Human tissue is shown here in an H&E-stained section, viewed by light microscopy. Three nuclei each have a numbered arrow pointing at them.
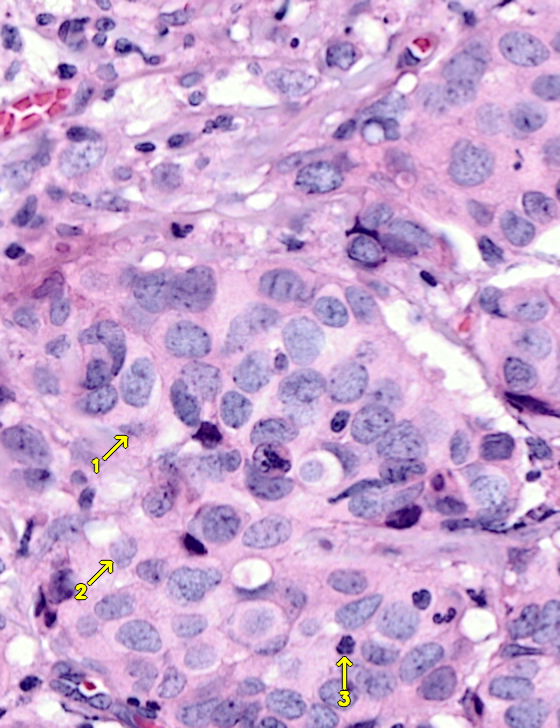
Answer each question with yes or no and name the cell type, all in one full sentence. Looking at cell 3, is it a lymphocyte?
Yes, the cell distinguished by number 3 is a lymphocyte.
